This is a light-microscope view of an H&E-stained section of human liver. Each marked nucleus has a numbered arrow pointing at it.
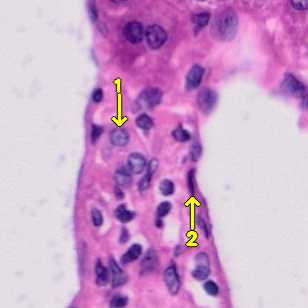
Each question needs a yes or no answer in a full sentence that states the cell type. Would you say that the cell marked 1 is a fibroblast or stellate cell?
No, rather than a fibroblast or stellate cell, cell number 1 is a cholangiocyte.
